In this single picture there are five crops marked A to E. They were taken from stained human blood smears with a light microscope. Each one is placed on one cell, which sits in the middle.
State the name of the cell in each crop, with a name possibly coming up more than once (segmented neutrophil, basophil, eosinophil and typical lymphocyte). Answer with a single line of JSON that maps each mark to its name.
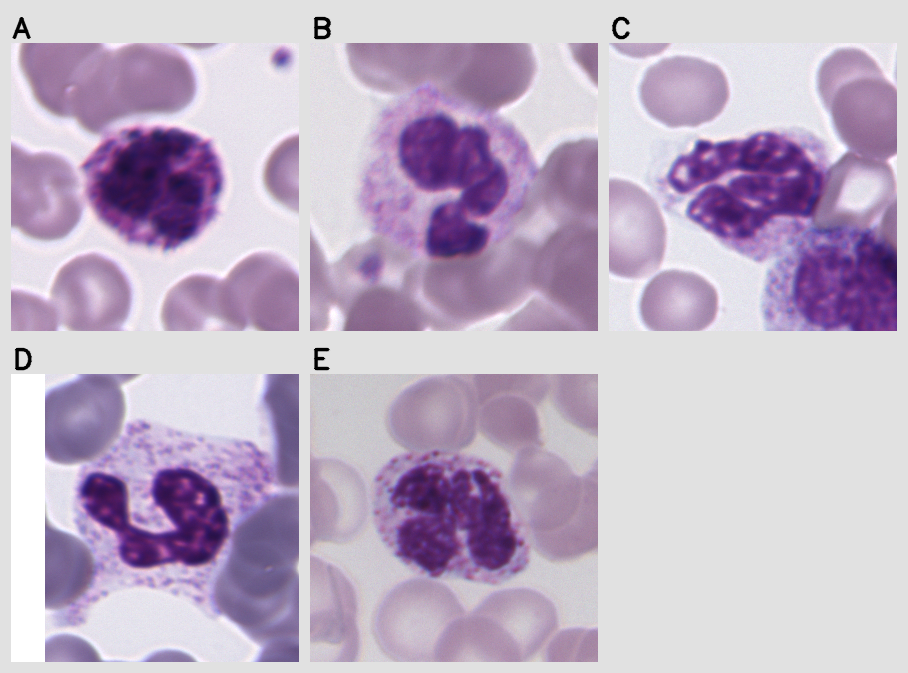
{"A": "basophil", "B": "segmented neutrophil", "C": "segmented neutrophil", "D": "segmented neutrophil", "E": "basophil"}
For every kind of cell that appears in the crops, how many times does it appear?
segmented neutrophil: 3
basophil: 2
